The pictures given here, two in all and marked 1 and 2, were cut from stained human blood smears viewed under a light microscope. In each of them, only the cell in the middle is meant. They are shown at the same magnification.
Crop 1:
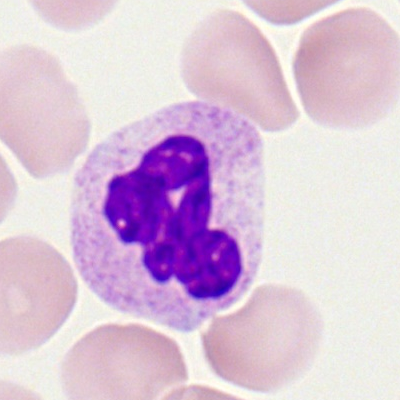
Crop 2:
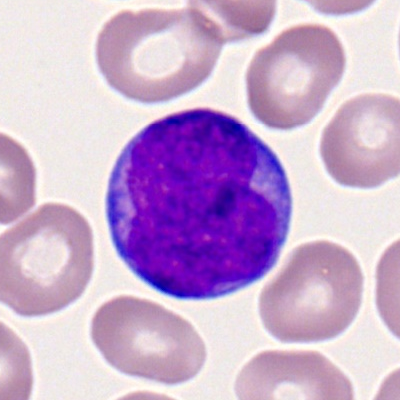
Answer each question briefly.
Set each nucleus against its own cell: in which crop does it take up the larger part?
2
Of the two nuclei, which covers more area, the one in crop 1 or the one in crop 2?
2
